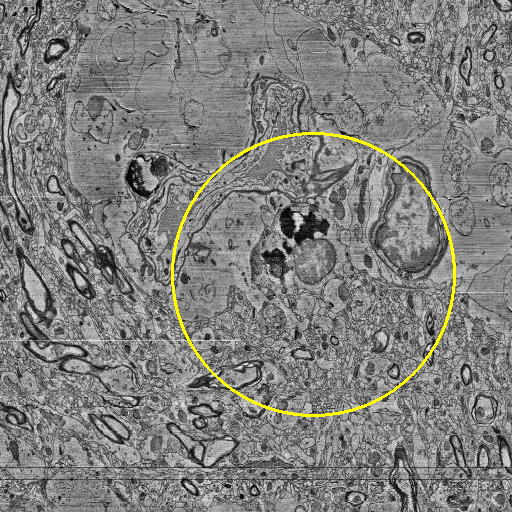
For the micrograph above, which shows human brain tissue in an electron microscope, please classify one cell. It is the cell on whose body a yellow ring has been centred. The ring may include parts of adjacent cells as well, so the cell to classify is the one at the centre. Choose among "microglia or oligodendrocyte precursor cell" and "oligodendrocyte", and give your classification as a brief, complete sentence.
I classify this cell as an oligodendrocyte.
